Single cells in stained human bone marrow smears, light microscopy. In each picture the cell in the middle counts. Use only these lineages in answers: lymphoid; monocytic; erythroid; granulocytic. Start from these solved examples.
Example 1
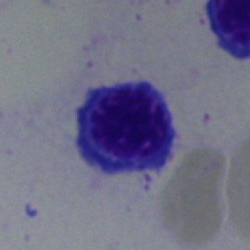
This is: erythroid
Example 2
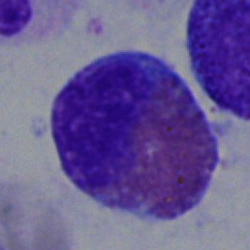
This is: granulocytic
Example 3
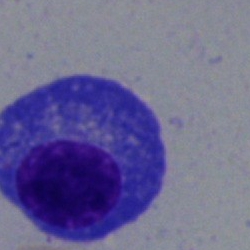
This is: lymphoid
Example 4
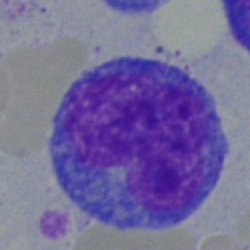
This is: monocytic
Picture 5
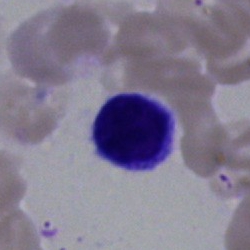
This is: lymphoid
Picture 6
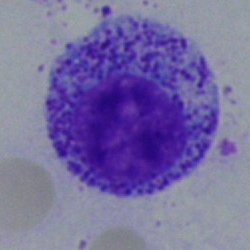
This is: granulocytic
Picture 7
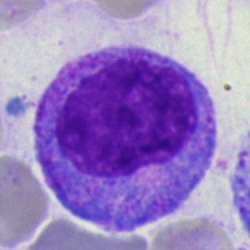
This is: granulocytic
